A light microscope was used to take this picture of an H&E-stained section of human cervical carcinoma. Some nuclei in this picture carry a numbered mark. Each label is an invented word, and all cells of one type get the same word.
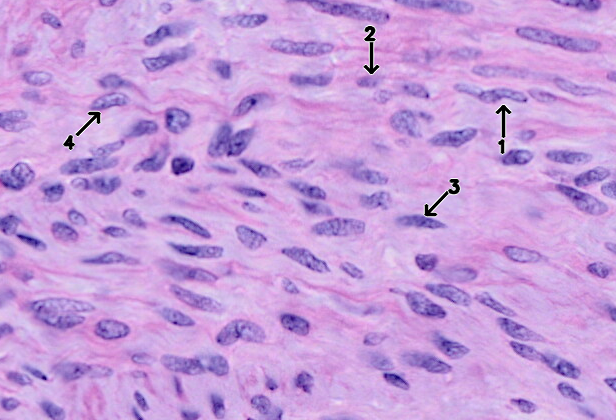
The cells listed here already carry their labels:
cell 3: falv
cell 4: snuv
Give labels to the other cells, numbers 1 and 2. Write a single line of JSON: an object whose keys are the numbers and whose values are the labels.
{"1": "snuv", "2": "snuv"}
